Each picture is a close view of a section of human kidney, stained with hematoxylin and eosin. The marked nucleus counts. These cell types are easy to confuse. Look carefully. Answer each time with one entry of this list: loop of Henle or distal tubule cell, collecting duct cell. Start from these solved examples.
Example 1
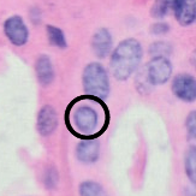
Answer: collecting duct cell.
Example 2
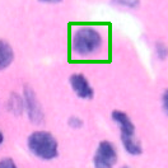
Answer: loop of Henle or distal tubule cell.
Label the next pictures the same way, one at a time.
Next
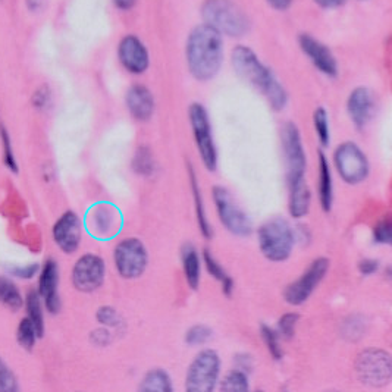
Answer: loop of Henle or distal tubule cell.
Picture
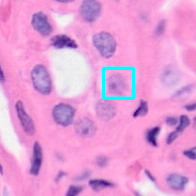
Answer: loop of Henle or distal tubule cell.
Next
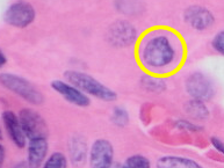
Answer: loop of Henle or distal tubule cell.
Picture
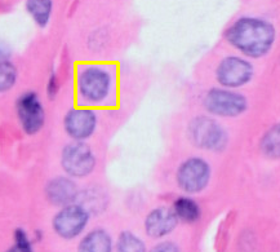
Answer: collecting duct cell.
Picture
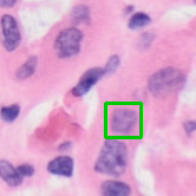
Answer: collecting duct cell.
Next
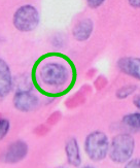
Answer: collecting duct cell.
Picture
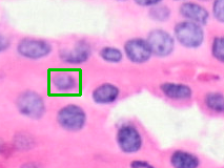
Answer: loop of Henle or distal tubule cell.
